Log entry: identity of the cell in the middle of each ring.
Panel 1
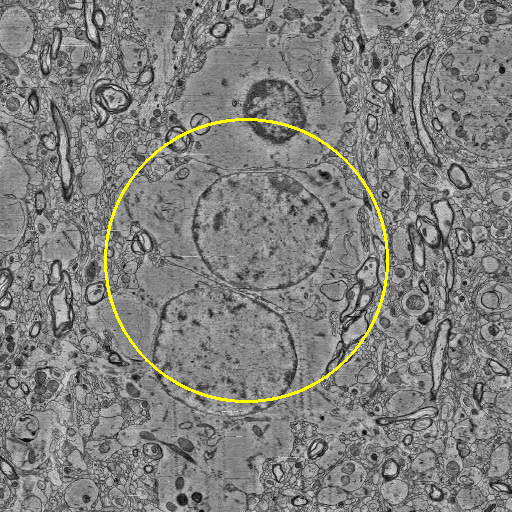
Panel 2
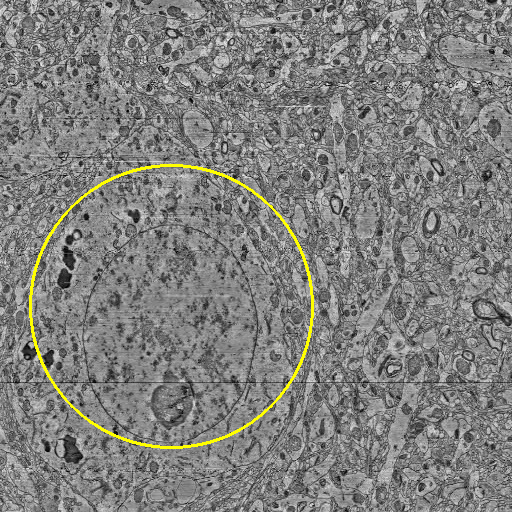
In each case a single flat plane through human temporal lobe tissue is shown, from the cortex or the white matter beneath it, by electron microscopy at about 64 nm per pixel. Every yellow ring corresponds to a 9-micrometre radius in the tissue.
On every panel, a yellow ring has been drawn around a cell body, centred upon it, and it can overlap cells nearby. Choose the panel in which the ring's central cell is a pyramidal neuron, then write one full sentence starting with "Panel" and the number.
Panel 2 shows the requested cell sitting in the middle of its ring.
